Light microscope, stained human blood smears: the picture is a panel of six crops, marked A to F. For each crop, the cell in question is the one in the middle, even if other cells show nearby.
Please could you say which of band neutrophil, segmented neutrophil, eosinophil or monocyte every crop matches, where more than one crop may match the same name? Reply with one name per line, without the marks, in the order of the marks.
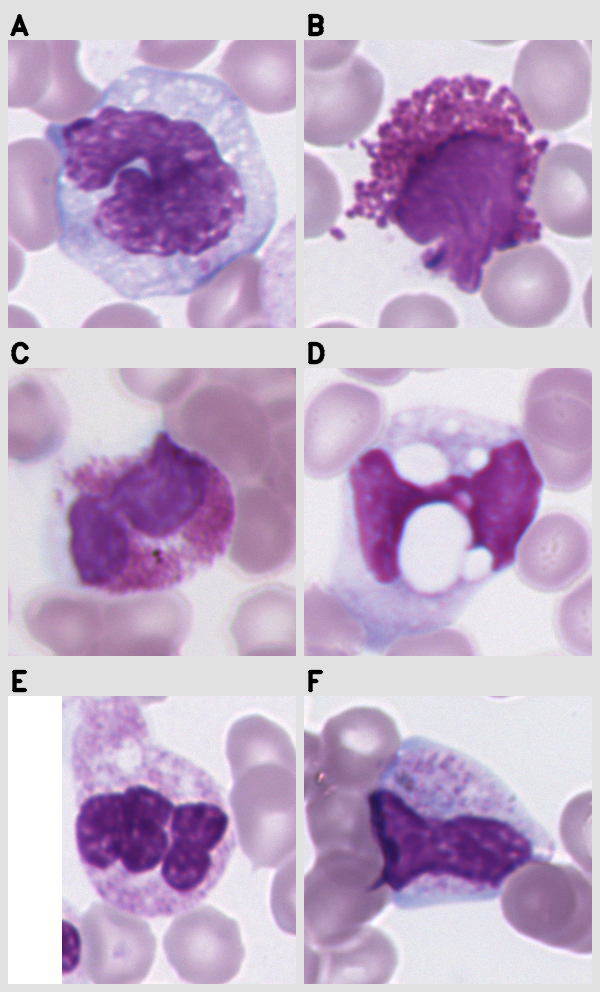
monocyte
eosinophil
eosinophil
monocyte
segmented neutrophil
band neutrophil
